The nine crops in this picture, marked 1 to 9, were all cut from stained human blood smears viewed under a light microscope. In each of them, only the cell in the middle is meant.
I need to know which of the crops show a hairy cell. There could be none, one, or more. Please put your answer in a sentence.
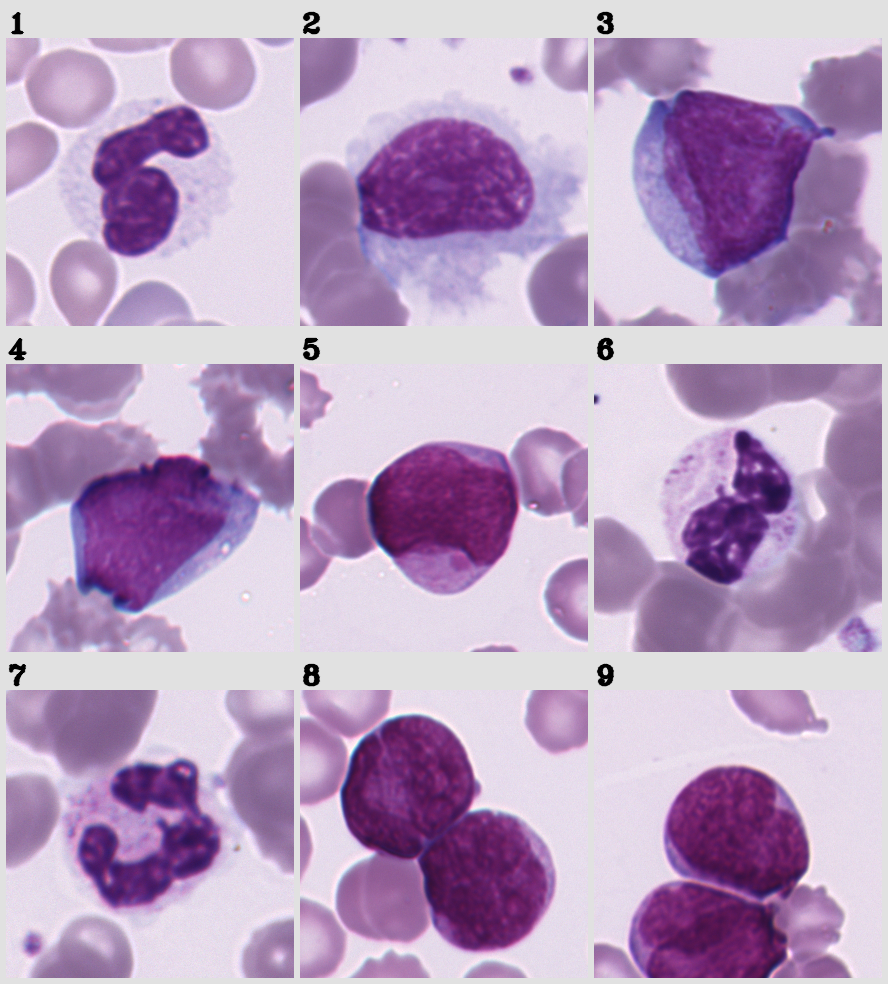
Exactly one crop shows a hairy cell, and that crop is 2.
